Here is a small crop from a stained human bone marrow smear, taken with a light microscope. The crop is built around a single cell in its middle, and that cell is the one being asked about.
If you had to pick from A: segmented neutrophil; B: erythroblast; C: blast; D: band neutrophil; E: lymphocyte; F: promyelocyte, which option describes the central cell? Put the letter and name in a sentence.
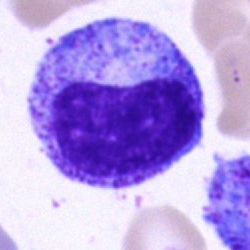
The cell centered in the crop is a promyelocyte, making option F the correct pick.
